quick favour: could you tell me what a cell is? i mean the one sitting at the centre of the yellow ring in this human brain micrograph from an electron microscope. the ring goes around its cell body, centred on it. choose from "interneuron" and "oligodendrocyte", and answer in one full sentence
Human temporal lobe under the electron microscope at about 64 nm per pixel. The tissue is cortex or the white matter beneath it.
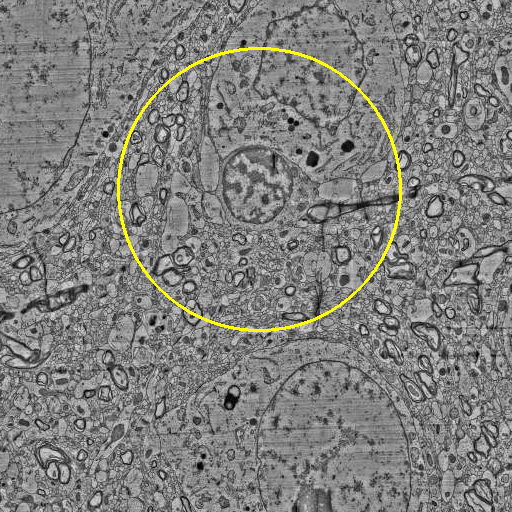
That's an oligodendrocyte, the cell sitting at the centre of the yellow ring.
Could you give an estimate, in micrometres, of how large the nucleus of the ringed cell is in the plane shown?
The nucleus measures about 5 micrometers across in this plane.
